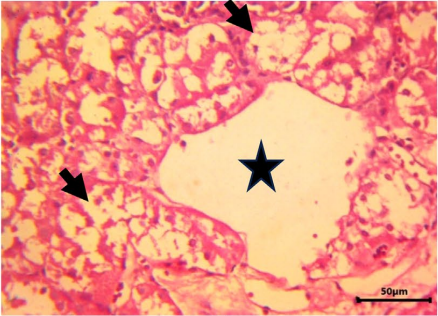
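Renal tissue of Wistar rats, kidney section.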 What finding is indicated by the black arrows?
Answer: ballooning degeneration and necrosis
